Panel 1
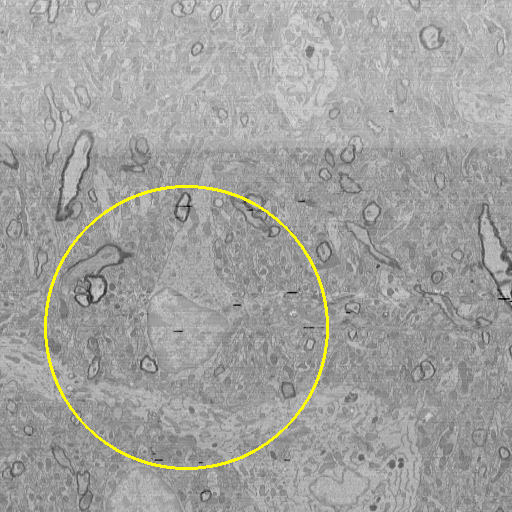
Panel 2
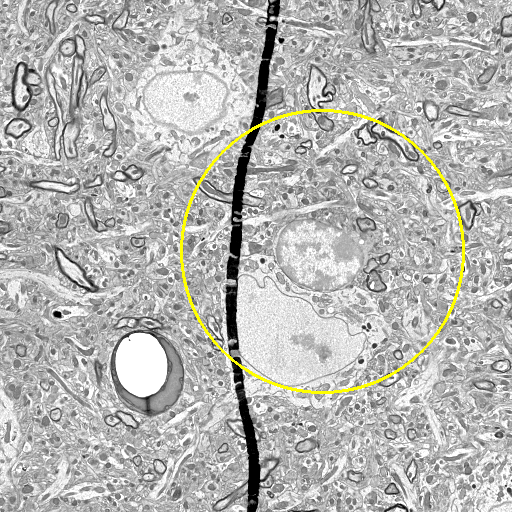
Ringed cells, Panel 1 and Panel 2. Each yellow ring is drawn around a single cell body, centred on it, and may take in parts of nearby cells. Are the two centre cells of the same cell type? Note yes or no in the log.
yes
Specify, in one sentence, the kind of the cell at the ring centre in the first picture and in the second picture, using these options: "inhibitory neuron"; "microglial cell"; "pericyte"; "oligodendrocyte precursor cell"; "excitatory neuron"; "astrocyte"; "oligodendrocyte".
Both pictures show an oligodendrocyte at the centre of the ring.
